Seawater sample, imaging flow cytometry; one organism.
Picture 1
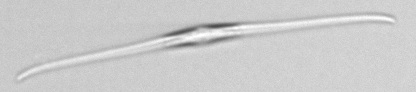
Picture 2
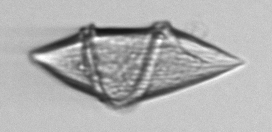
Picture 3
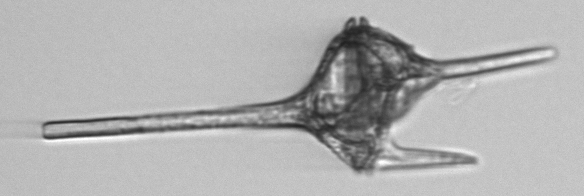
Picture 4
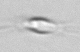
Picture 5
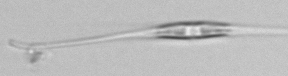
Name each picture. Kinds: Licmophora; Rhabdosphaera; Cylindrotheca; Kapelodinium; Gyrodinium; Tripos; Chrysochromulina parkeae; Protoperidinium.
Picture 1: Cylindrotheca
Picture 2: Gyrodinium
Picture 3: Tripos
Picture 4: Chrysochromulina parkeae
Picture 5: Cylindrotheca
